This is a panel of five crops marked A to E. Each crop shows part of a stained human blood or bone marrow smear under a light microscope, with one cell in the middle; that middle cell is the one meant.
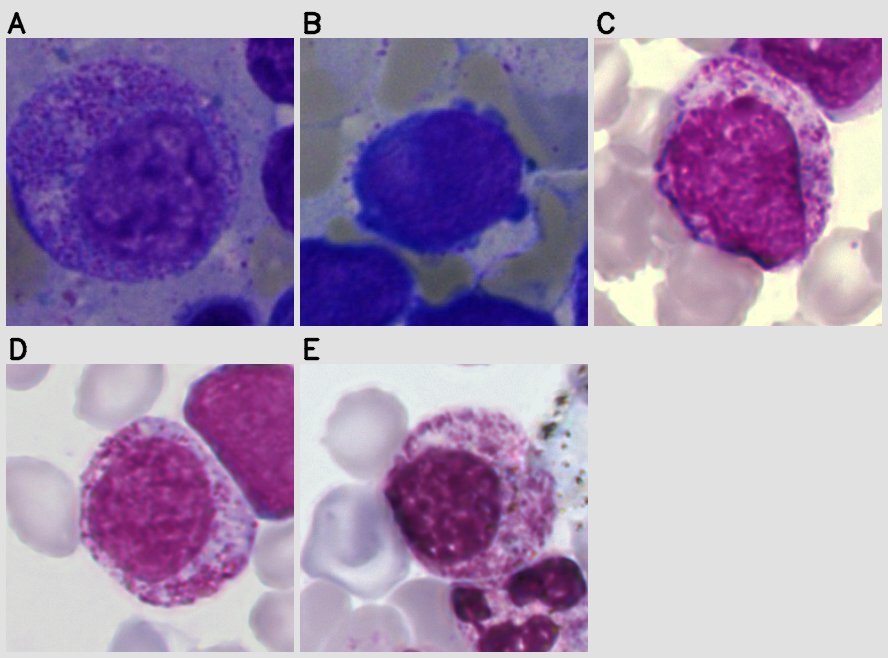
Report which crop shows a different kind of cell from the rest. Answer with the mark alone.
B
